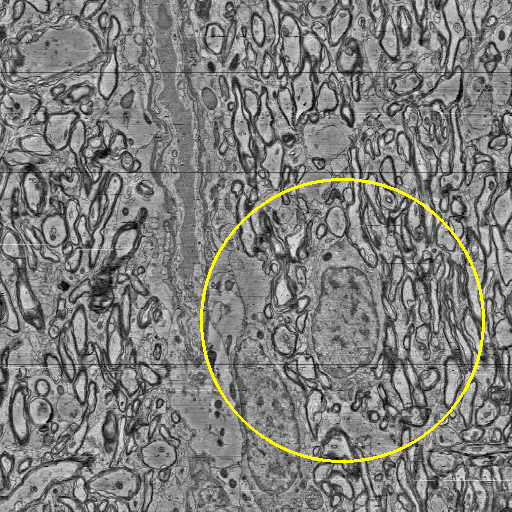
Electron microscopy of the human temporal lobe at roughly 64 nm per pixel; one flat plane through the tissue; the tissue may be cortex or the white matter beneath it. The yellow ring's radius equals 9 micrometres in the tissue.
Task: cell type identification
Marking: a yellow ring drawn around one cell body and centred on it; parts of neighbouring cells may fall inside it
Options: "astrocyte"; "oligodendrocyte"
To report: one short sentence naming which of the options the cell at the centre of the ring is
The cell at the centre of the ring is an oligodendrocyte.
